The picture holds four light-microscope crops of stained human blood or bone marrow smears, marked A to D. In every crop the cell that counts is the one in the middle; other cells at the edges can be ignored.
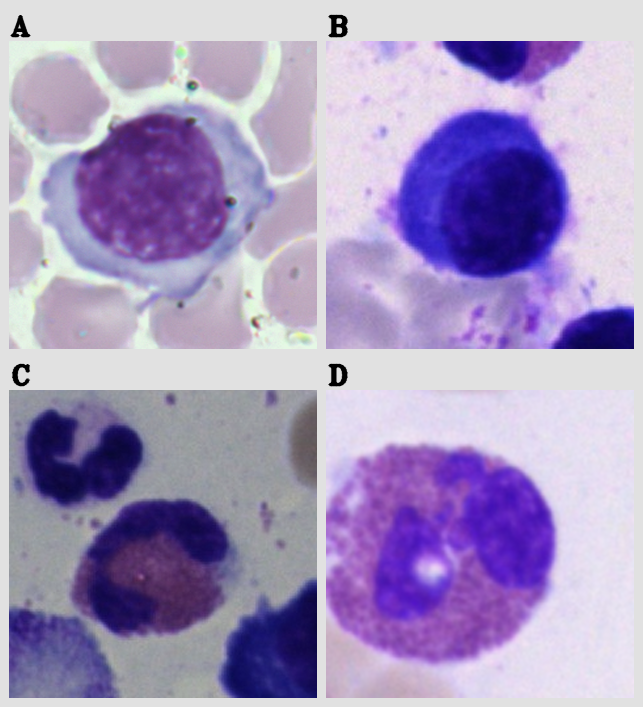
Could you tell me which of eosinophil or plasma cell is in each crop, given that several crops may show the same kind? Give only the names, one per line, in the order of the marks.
plasma cell
plasma cell
eosinophil
eosinophil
